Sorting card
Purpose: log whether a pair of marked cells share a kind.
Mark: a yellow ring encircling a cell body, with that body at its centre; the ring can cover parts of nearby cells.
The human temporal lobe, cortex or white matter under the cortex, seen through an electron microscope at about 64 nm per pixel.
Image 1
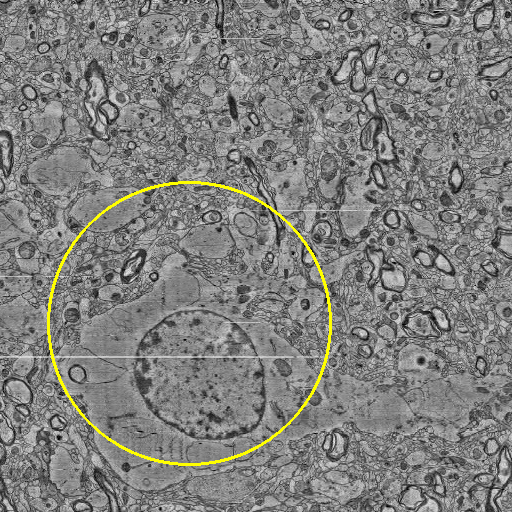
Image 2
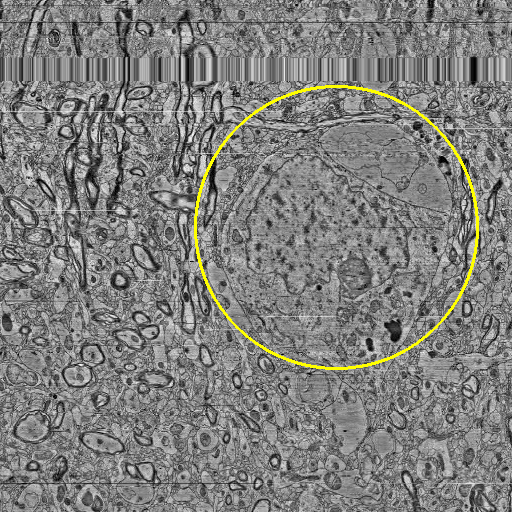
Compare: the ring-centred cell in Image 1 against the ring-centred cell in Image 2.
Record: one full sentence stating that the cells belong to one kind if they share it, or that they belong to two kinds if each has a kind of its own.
Across Images 1 and 2, the two ring-centred cells belong to two kinds.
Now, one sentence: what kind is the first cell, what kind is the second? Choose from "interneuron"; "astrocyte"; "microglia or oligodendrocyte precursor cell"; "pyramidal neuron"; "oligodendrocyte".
The first picture has an astrocyte at its ring centre, and the second has an interneuron.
